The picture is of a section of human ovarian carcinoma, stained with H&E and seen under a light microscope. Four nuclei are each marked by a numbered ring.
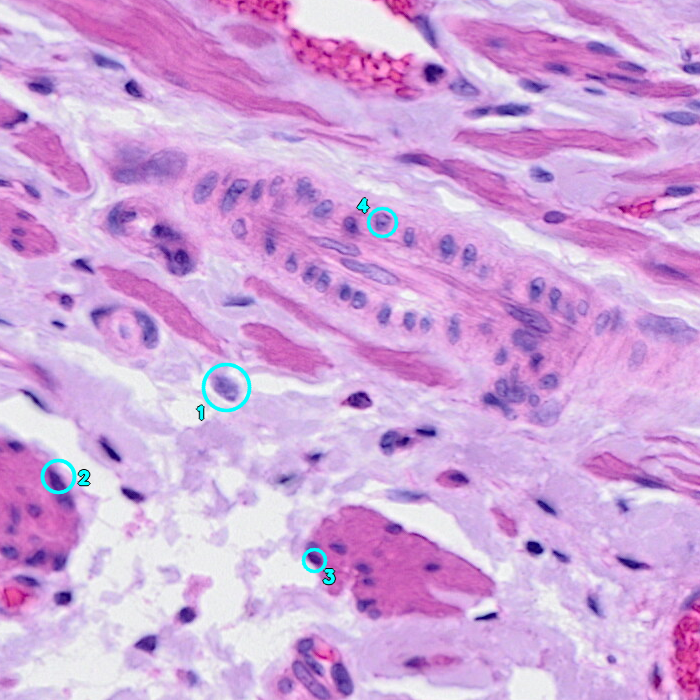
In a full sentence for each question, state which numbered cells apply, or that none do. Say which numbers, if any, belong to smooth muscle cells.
The cells numbered 2, 3 and 4 are typed as smooth muscle cells.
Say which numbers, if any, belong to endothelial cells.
It is not the case that any of the numbered cells are endothelial cells.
